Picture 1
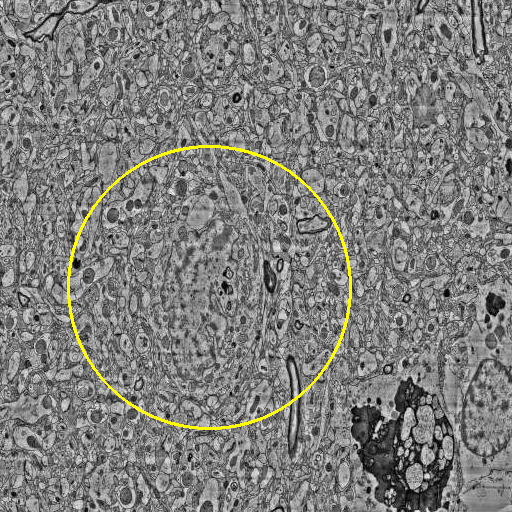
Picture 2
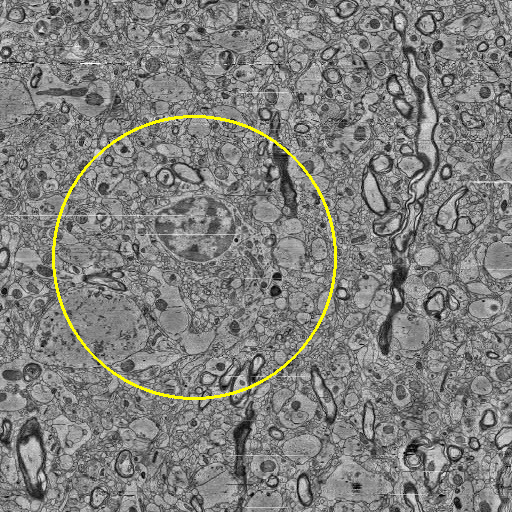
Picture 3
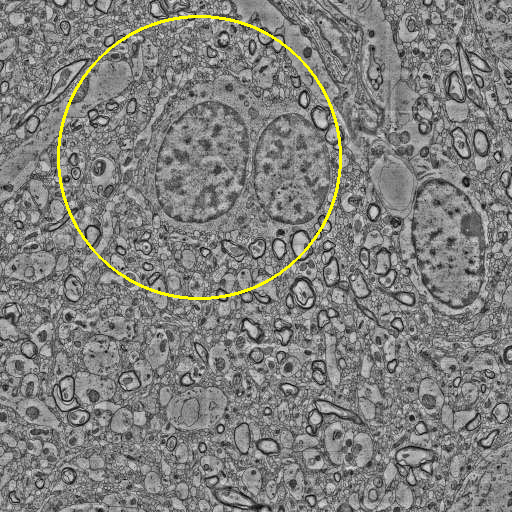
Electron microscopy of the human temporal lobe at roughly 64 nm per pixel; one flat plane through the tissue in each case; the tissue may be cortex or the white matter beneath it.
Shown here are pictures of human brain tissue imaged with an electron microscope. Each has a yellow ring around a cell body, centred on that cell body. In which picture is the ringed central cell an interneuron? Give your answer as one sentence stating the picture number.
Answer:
My answer is picture 1, where the ringed cell at the centre is the one sought.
